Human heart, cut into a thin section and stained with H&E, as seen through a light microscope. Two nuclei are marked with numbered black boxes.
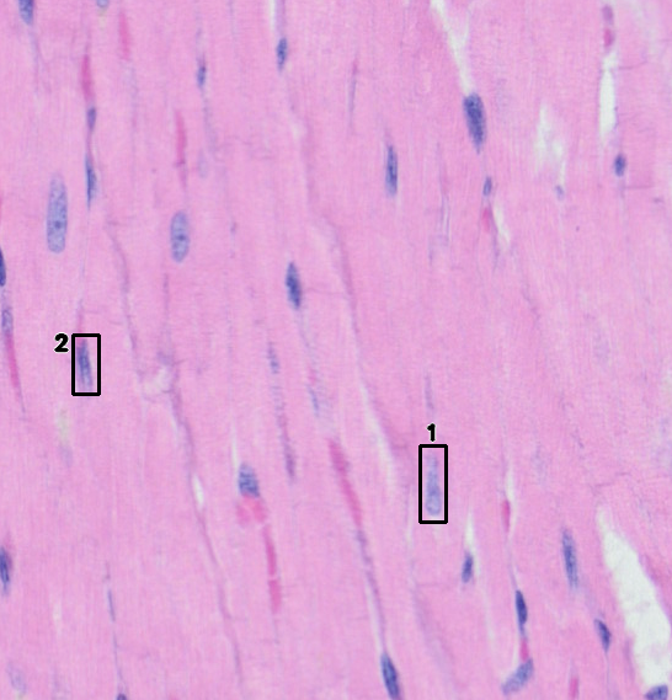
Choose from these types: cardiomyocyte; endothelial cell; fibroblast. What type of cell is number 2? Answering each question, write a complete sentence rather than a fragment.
The cell that is numbered 2 is an endothelial cell.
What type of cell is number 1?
The cell marked with number 1 is a cardiomyocyte.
